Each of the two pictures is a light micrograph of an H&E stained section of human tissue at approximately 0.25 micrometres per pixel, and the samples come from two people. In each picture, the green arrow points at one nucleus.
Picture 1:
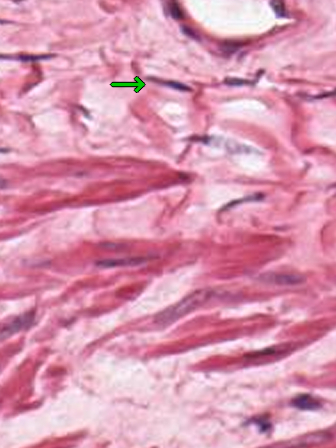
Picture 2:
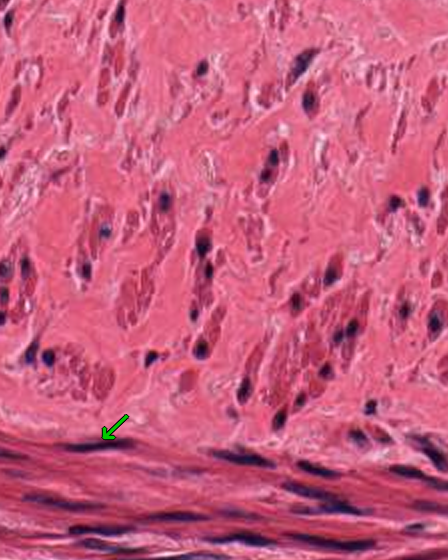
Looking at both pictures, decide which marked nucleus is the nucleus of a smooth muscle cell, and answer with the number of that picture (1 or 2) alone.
2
